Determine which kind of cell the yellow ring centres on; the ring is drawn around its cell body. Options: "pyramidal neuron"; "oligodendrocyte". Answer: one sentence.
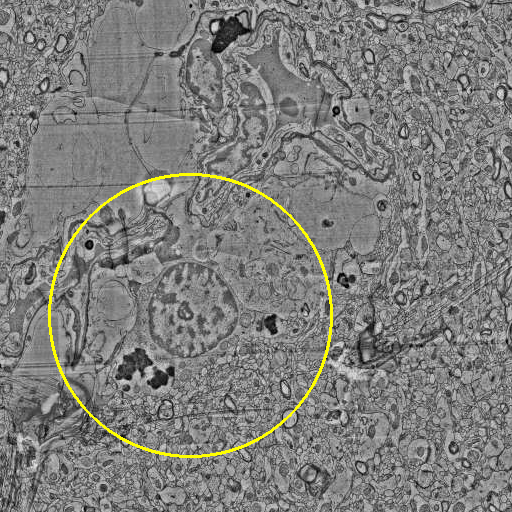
The ring centres on an oligodendrocyte.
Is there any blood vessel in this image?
Yes, a blood vessel is present in this picture.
